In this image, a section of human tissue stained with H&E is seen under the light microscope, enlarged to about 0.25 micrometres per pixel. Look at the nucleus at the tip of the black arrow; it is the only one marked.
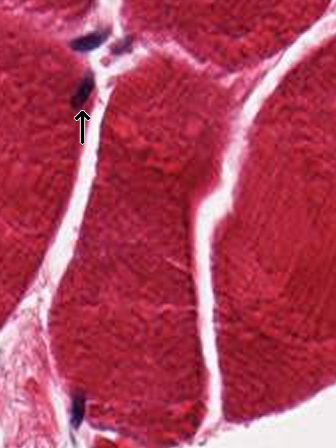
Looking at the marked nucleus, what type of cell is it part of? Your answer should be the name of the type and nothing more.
skeletal muscle fibre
